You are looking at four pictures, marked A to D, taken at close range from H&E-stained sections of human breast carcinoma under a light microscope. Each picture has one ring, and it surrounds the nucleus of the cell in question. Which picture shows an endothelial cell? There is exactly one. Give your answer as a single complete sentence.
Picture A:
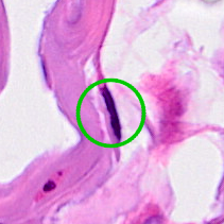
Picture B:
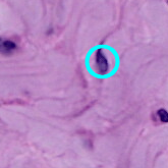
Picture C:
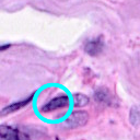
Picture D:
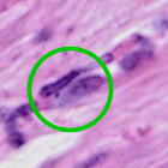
The endothelial cell is the one in picture C.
